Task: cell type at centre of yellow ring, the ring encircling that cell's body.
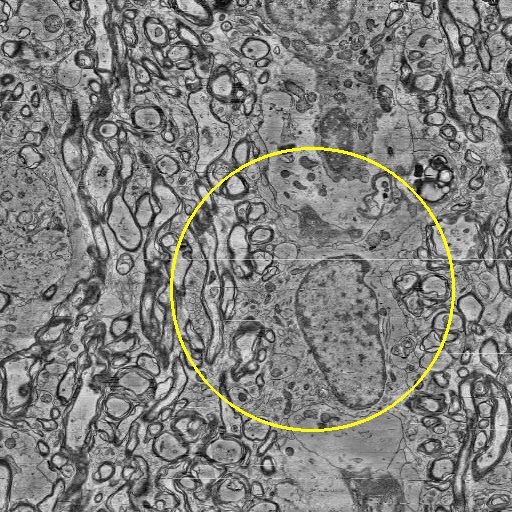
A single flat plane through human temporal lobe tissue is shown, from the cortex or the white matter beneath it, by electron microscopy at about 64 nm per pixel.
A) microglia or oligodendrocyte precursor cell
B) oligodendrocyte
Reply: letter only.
A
